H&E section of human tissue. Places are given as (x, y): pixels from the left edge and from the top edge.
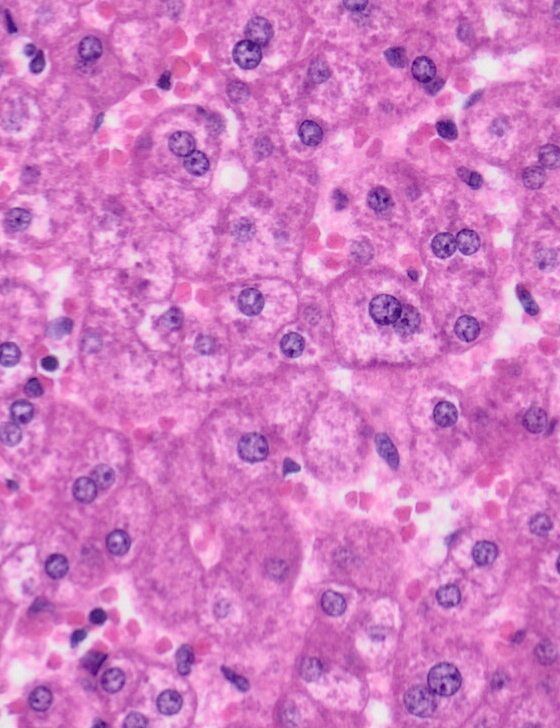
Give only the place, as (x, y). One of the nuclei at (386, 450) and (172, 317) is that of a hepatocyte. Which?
(172, 317)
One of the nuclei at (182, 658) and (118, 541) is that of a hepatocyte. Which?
(118, 541)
